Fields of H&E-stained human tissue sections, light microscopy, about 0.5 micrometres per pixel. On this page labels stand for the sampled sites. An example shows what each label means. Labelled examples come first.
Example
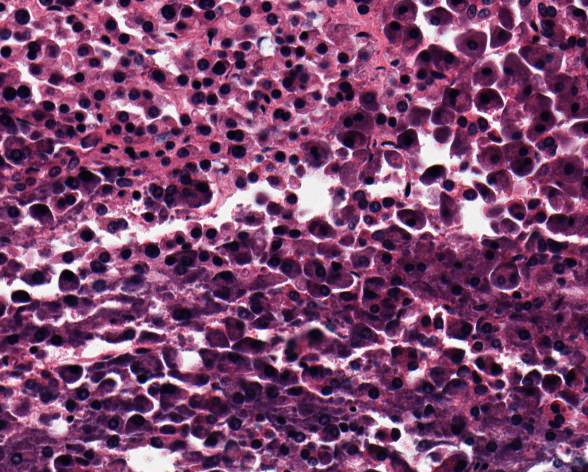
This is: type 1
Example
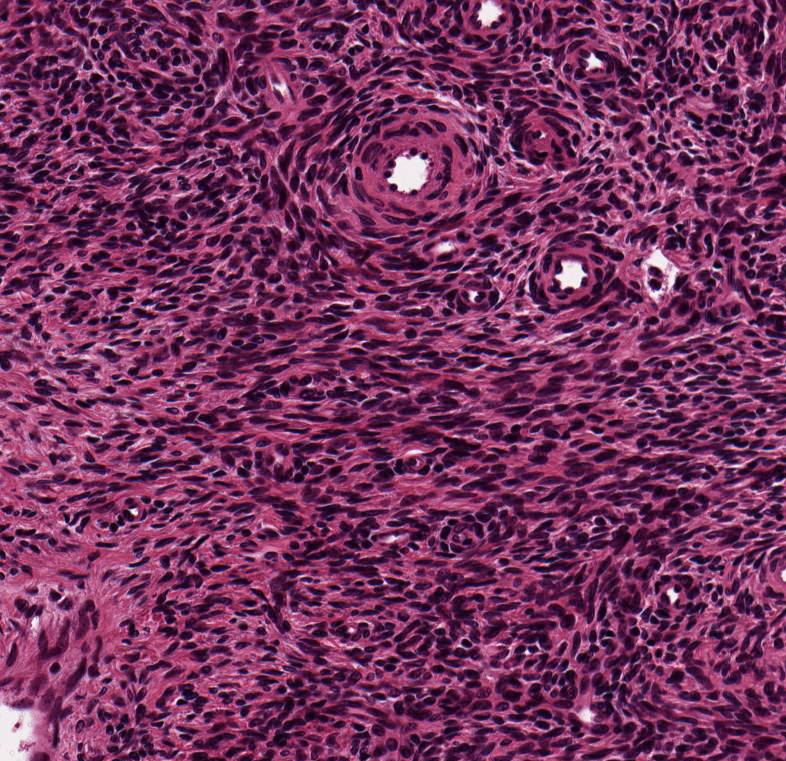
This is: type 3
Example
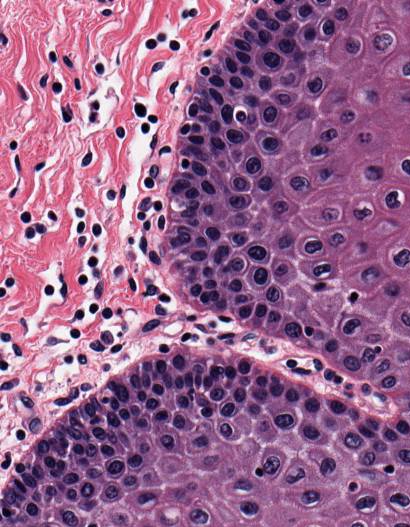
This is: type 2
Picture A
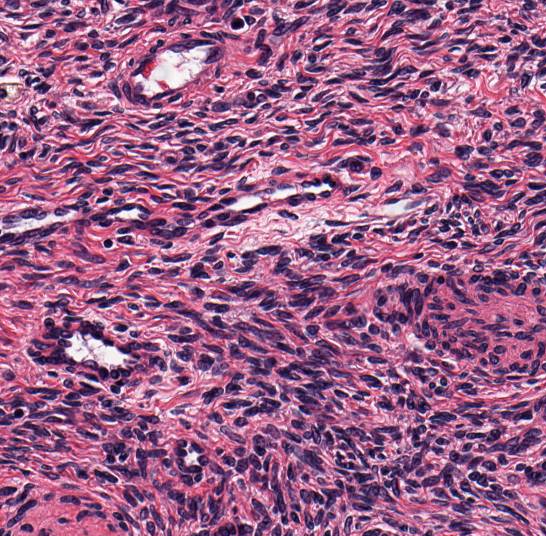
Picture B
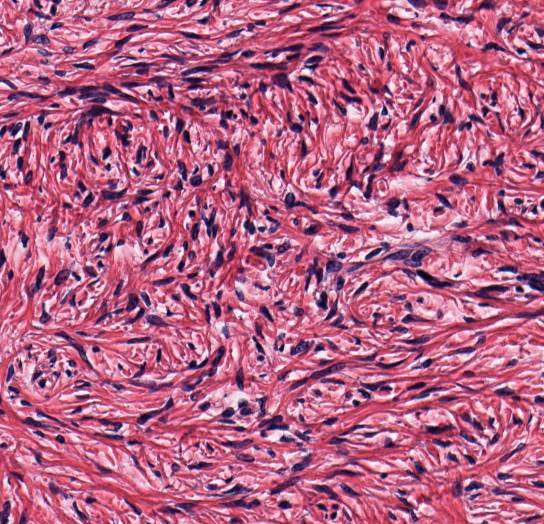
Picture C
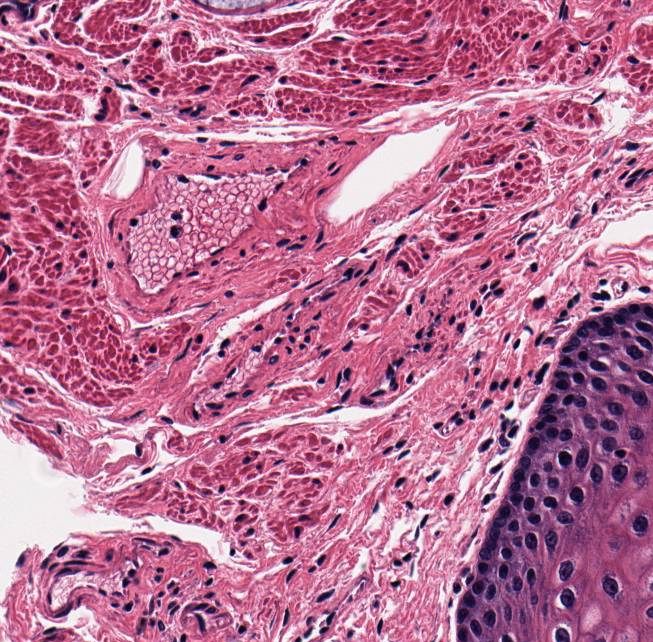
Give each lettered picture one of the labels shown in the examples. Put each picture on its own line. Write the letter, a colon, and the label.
A: type 3
B: type 3
C: type 2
